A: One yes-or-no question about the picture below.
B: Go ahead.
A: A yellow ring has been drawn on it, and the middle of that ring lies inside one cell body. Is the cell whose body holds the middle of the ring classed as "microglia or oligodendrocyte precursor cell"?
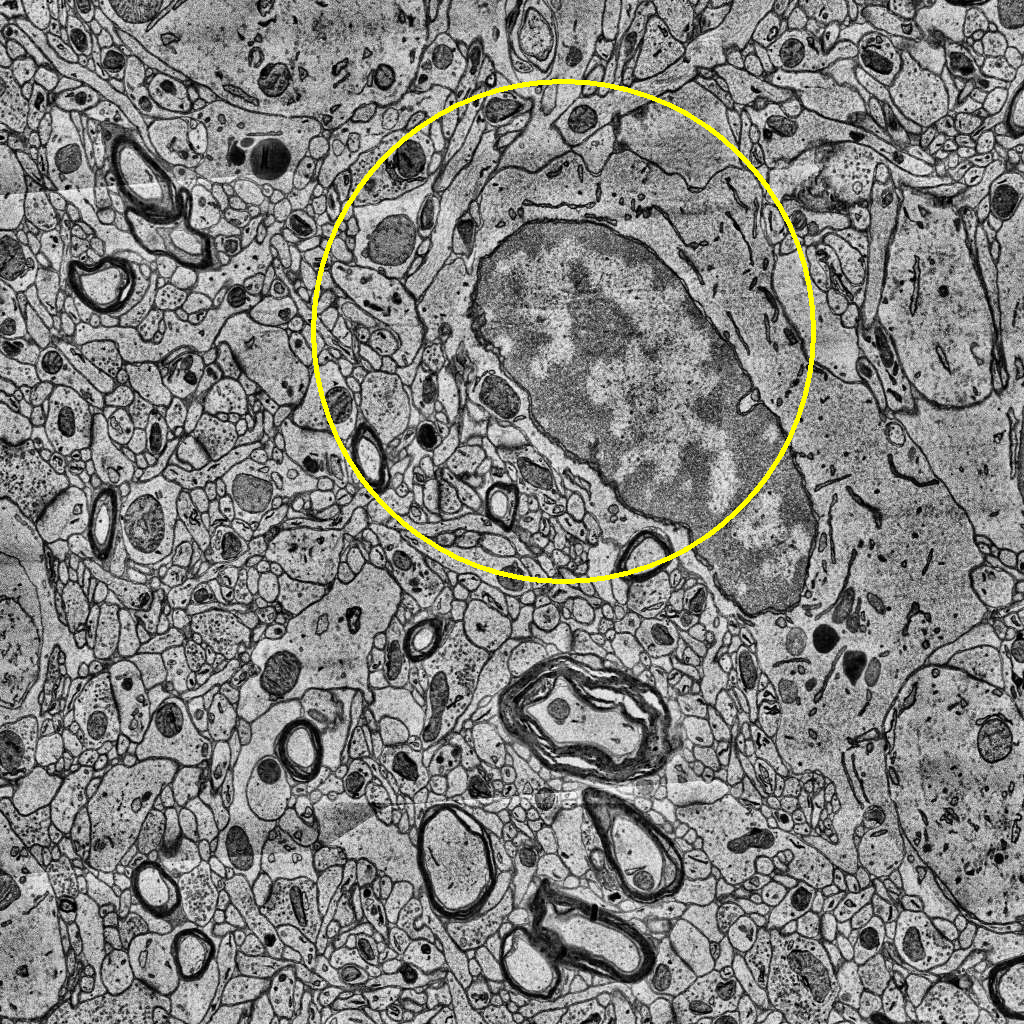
Yes, it is classed that way.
